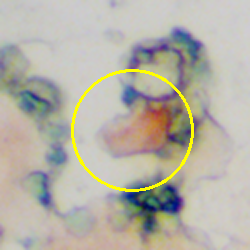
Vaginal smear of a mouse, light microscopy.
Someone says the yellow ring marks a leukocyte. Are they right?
They are not: the ring marks a cornified epithelial cell.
